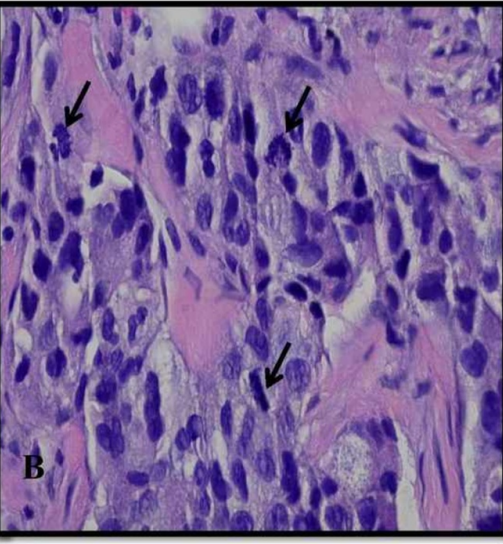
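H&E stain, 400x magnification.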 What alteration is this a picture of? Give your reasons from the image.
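The nuclei are large and dark purple. Nuclear shapes and sizes vary widely, from round to elongated.
Answer: hyperchromatic, pleomorphic nuclei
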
